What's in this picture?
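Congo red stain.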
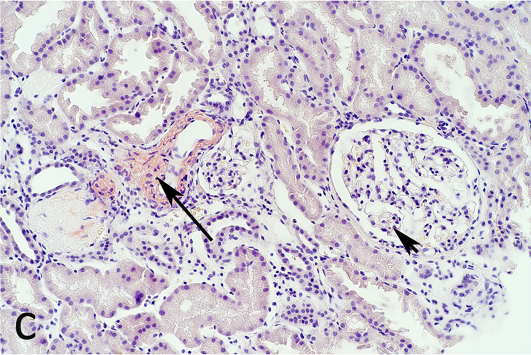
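Kidney tissue with a glomerulus, tubules and a small artery. The glomerulus at the right is a rounded capillary tuft with purple nuclei, set within a clear space bounded by a thin capsule. At the left, a small vessel shows an orange-pink, amorphous wall standing out against the pale pink background. Tubules surround both, lined by epithelial cells with pale pink, slightly granular cytoplasm and round purple nuclei; some lumina are open and irregular. Interstitial cells with small dark nuclei lie between the tubules.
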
